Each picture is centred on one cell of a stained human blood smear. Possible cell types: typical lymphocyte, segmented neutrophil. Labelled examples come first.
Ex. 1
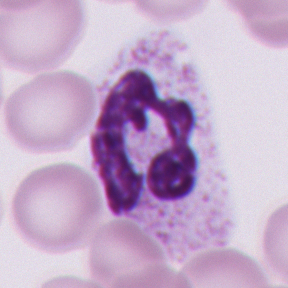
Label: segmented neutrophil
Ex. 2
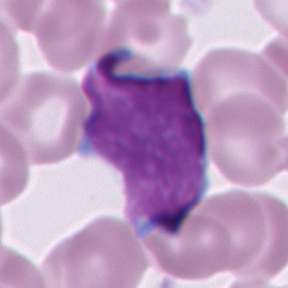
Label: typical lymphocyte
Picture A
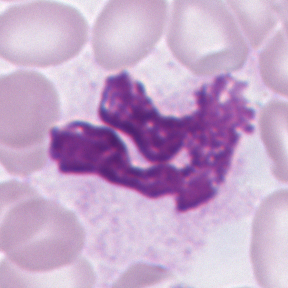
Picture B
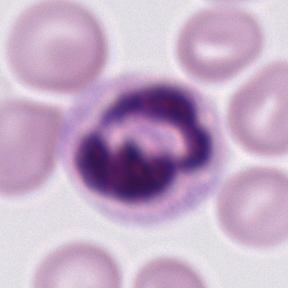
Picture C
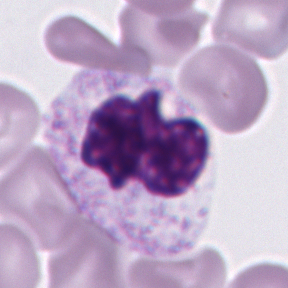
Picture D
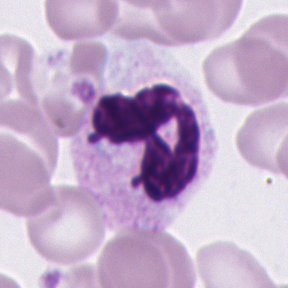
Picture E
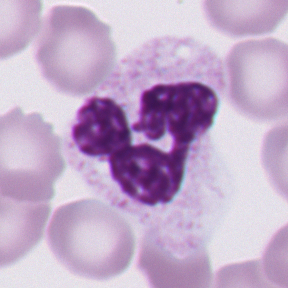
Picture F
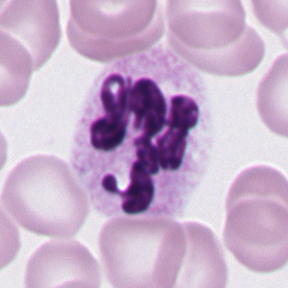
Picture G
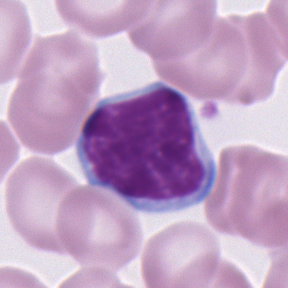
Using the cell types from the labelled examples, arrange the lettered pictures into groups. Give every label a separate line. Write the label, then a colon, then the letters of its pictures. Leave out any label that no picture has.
typical lymphocyte: G
segmented neutrophil: A, B, C, D, E, F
